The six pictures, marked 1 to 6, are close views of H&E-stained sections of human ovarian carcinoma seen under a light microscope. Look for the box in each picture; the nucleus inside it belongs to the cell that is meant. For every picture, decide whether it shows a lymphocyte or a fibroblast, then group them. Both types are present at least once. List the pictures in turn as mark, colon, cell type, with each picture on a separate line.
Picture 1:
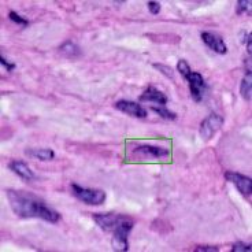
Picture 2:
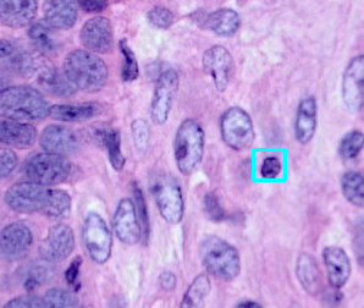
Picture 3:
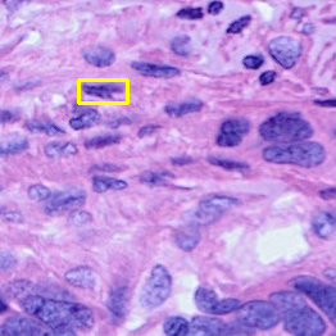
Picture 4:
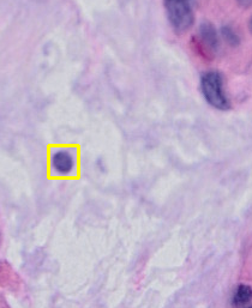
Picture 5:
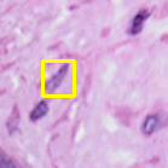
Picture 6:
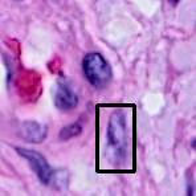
1: fibroblast
2: lymphocyte
3: fibroblast
4: lymphocyte
5: fibroblast
6: fibroblast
